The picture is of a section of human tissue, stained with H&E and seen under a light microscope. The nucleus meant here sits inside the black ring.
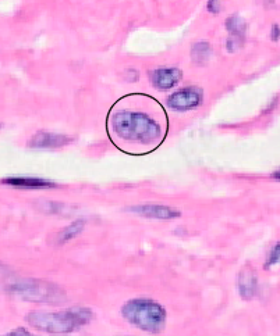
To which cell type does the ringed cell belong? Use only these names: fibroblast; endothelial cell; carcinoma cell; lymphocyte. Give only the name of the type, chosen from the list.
endothelial cell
